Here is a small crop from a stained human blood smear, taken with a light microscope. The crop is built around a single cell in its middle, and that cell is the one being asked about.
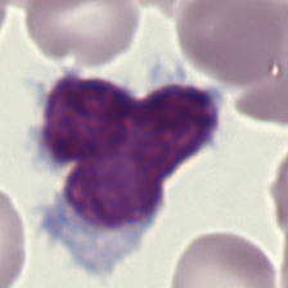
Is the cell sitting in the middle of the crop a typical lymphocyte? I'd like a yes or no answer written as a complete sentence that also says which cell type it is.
No, what is seen at the centre is a hairy cell instead of a typical lymphocyte.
